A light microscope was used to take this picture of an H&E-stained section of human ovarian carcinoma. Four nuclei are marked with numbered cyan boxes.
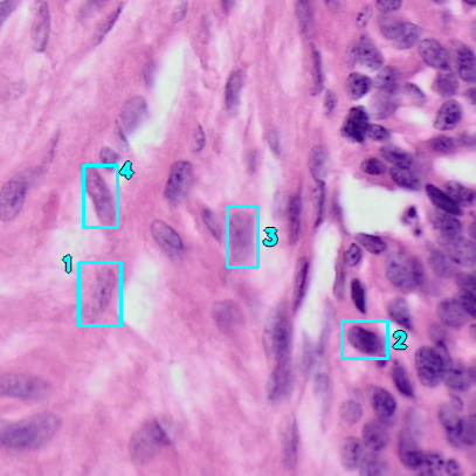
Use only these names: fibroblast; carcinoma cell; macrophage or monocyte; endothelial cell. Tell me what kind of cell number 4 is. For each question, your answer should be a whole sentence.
Looking at the numbered marks, cell 4 is a fibroblast.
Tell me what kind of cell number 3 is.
In the tissue shown, cell 3 is a fibroblast.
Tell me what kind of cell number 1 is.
Cell 1, as marked in the section, is a fibroblast.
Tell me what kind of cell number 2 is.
The cell referenced by the number 2 is a carcinoma cell in this field.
